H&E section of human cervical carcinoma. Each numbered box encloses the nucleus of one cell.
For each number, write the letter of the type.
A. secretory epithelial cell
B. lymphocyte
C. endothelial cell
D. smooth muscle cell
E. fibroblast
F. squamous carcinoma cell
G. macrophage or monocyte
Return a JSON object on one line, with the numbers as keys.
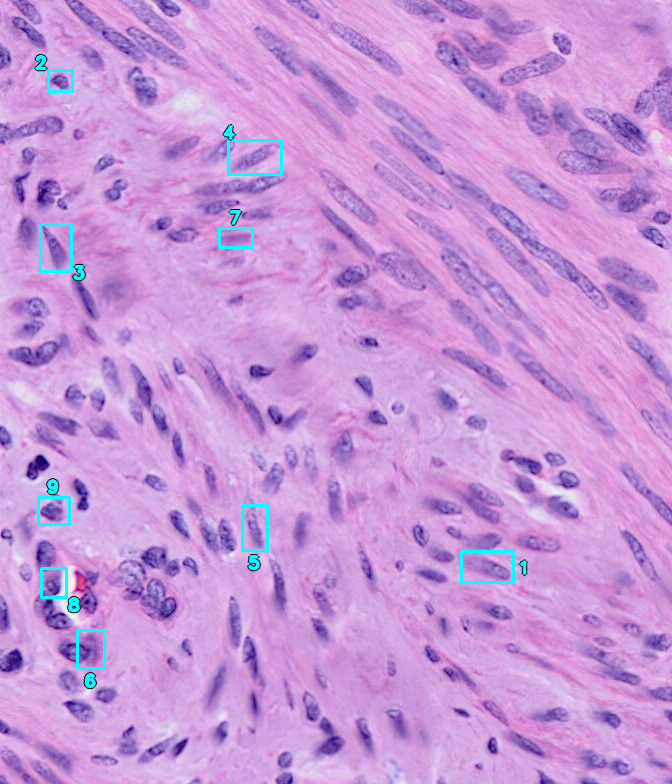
{"1": "D", "2": "D", "3": "E", "4": "D", "5": "E", "6": "C", "7": "D", "8": "C", "9": "E"}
